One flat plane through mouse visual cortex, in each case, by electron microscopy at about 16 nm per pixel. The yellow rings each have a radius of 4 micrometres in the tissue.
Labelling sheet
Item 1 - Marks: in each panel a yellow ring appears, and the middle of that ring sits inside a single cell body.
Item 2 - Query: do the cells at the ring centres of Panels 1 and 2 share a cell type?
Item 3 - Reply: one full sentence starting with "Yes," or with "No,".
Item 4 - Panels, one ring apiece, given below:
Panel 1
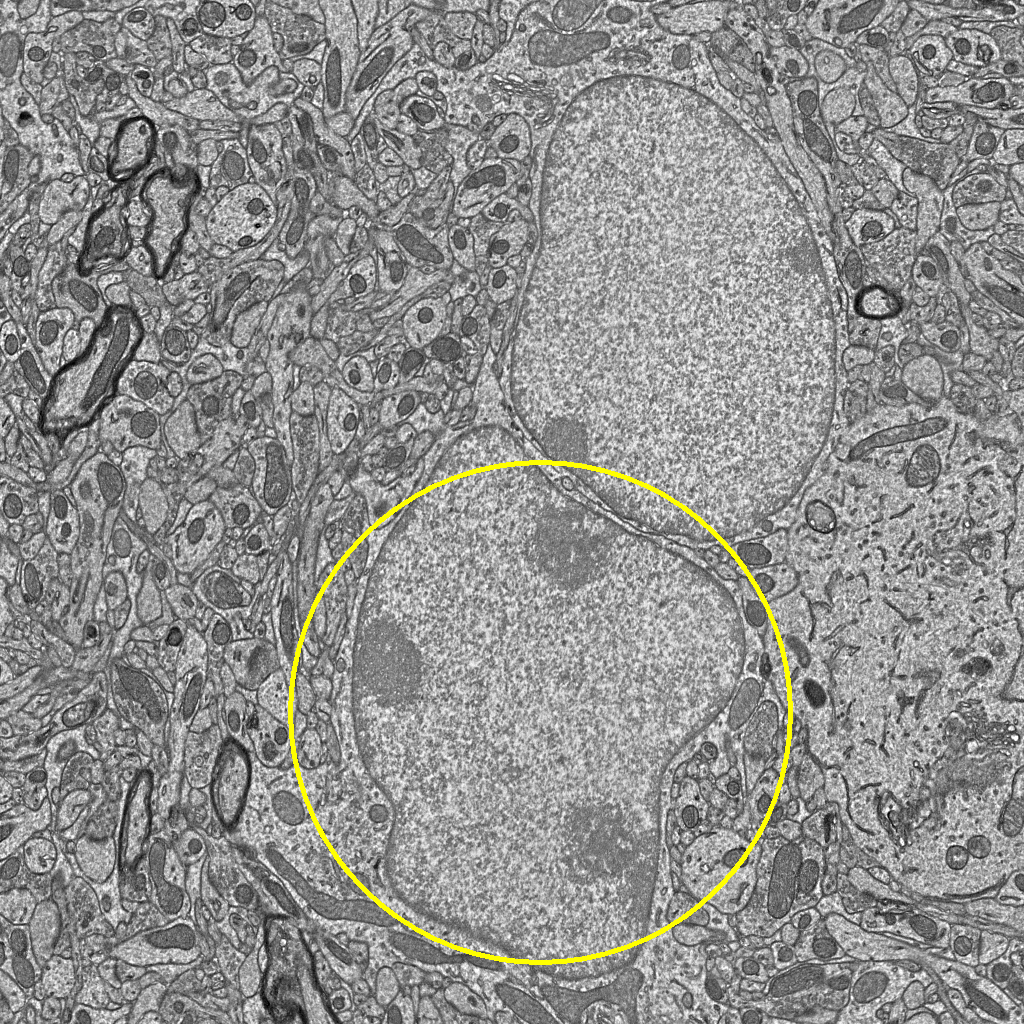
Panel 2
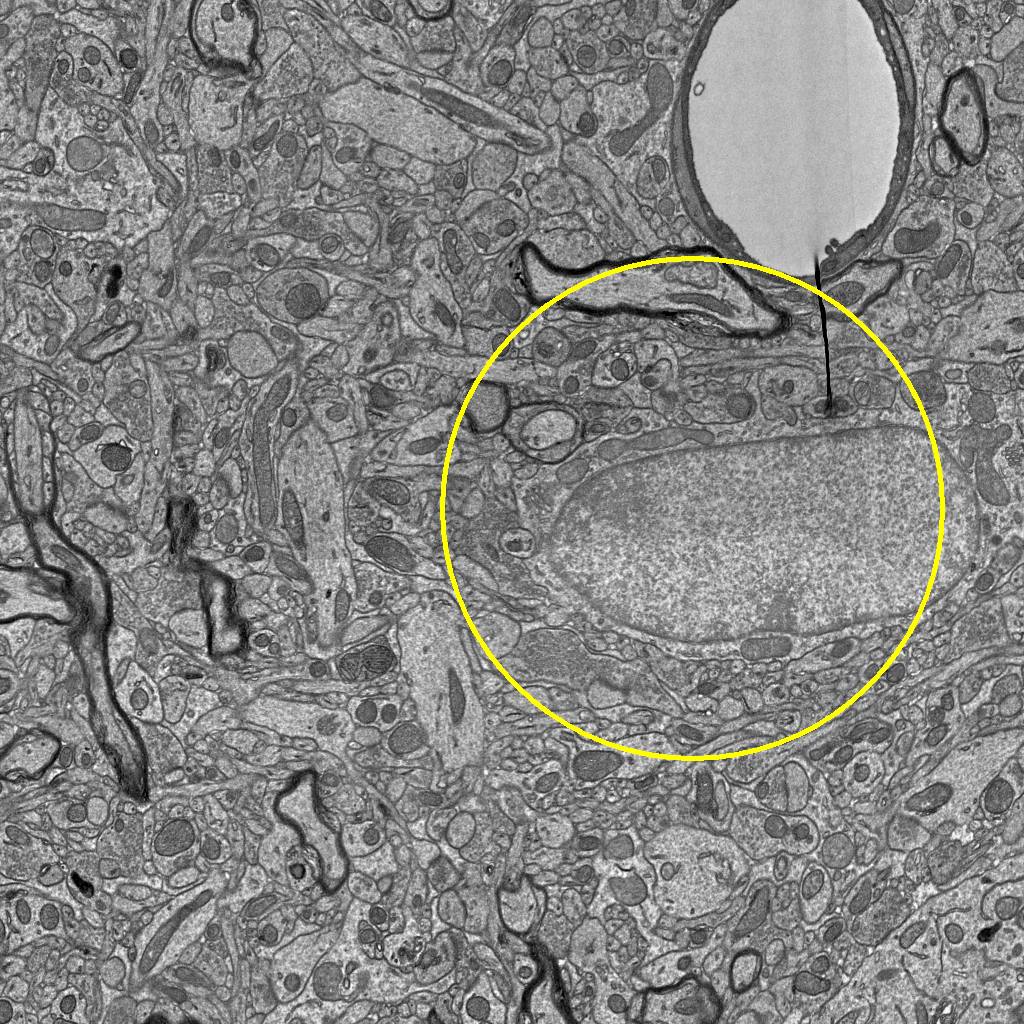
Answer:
Yes, Panel 1 and Panel 2 show one cell type at the centres of their rings.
